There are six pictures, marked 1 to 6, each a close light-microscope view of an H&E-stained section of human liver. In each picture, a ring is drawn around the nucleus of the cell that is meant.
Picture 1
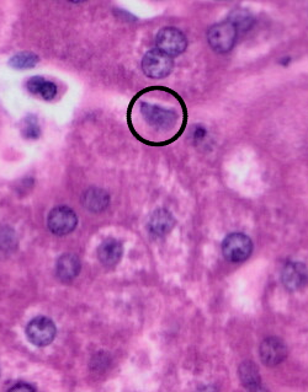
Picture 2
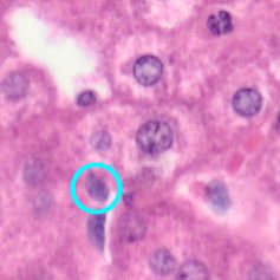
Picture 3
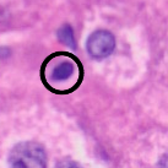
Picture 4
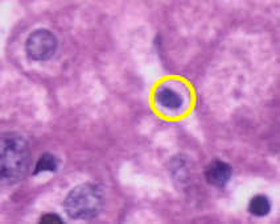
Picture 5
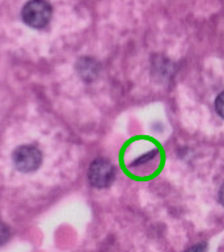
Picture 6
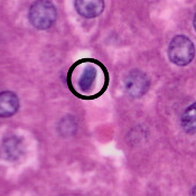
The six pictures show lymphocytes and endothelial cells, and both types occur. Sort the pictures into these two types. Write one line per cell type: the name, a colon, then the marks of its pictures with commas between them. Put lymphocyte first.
lymphocyte: 3, 4, 6
endothelial cell: 1, 2, 5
